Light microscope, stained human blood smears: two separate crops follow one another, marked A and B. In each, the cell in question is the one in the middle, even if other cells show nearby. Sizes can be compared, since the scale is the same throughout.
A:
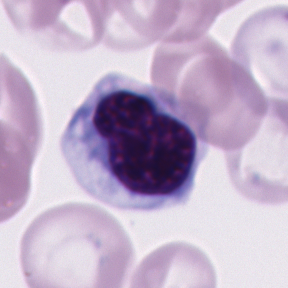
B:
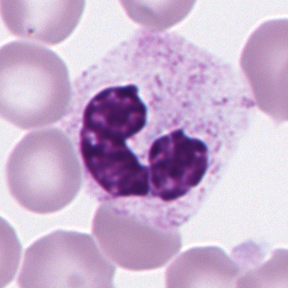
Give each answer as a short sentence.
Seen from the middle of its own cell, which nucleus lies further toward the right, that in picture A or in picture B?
Seen within its cell, the nucleus in picture A lies further toward the right.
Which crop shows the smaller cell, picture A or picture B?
The cell in picture A is smaller; the one in picture B has about 1.5 times its area.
